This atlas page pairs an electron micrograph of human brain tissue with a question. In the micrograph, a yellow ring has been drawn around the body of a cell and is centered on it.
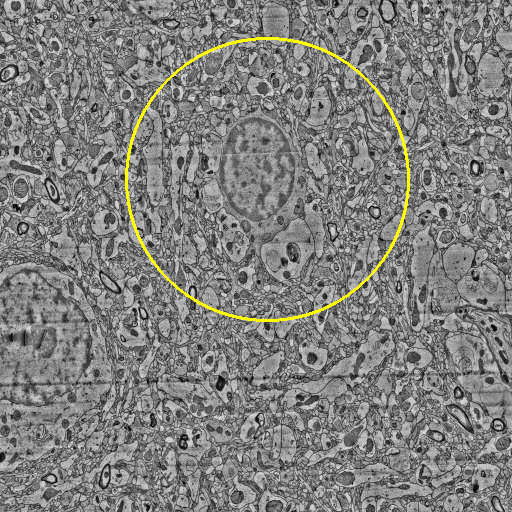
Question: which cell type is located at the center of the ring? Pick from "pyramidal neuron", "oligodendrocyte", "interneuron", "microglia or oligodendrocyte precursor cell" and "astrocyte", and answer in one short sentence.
Located at the center of the ring is an oligodendrocyte.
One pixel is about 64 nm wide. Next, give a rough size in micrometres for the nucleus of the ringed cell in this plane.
The nucleus is approximately 6 micrometers long by 5 micrometers wide in this plane.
